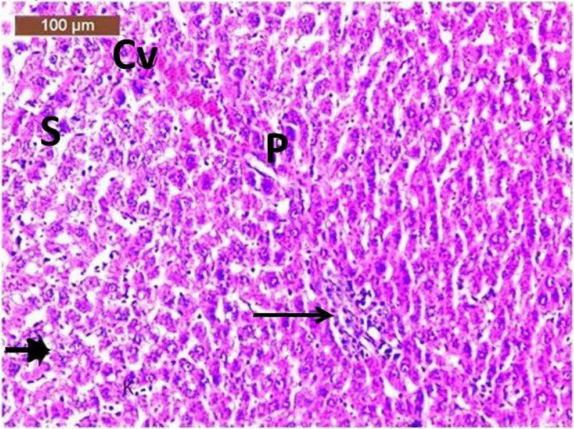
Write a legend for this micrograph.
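Liver tissue with hepatocyte cords whose arrangement is disturbed near a central vein filled with red blood cells. Some hepatocytes show small, dark, shrunken nuclei. A focal cluster of small, dark, round lymphocyte nuclei lies between the hepatocyte cords. Parts of the field show pale, vacuolated, disorganised hepatocytes. Sinusoids between the cords appear irregular.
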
